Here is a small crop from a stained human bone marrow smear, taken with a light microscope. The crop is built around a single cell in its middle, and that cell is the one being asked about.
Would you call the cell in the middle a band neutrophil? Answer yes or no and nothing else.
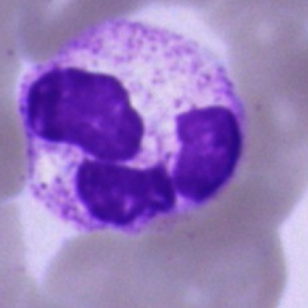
no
